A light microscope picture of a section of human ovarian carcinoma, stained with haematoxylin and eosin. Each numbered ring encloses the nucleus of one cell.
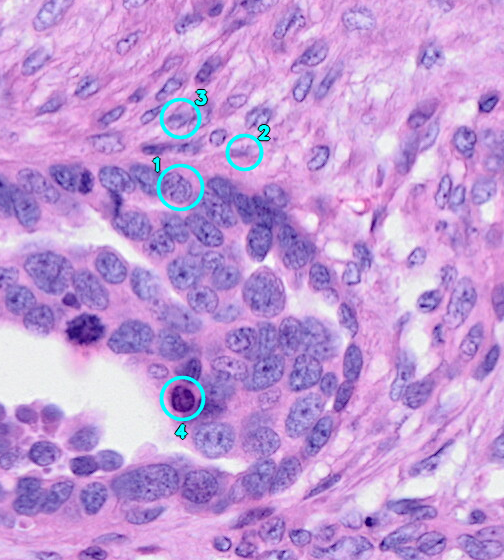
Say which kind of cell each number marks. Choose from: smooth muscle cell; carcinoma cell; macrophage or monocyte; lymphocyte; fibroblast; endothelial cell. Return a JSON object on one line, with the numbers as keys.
{"1": "carcinoma cell", "2": "fibroblast", "3": "fibroblast", "4": "carcinoma cell"}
